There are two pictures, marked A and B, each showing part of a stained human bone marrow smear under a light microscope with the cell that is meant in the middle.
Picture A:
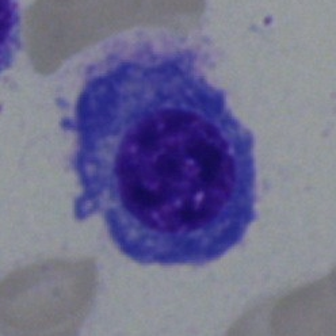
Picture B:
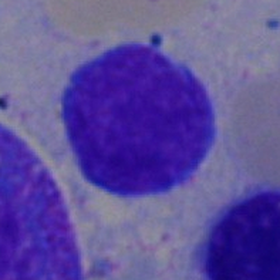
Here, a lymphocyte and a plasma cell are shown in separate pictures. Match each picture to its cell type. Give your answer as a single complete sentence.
The cell in picture A is a plasma cell, and the one in picture B is a lymphocyte.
